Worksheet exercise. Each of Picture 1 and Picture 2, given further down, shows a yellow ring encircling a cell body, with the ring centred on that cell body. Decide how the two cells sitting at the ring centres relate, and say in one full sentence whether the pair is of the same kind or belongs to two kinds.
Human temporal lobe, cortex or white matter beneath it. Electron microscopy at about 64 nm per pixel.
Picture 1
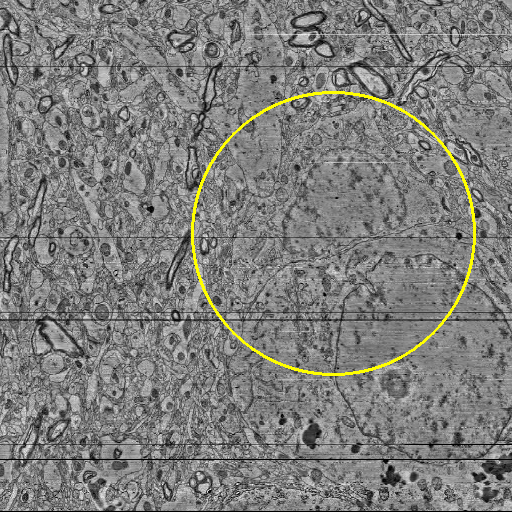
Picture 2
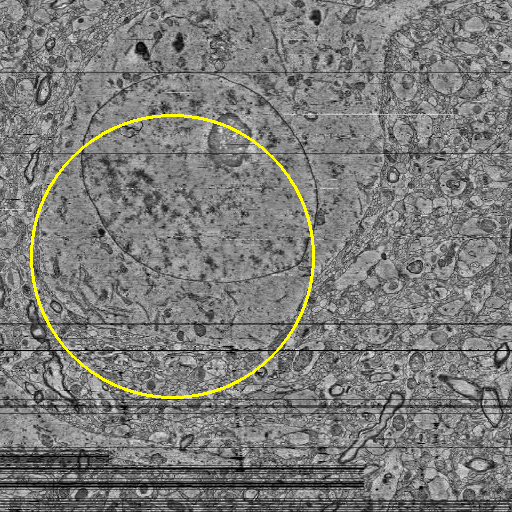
The cells at the ring centres in Picture 1 and Picture 2 belong to two kinds.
